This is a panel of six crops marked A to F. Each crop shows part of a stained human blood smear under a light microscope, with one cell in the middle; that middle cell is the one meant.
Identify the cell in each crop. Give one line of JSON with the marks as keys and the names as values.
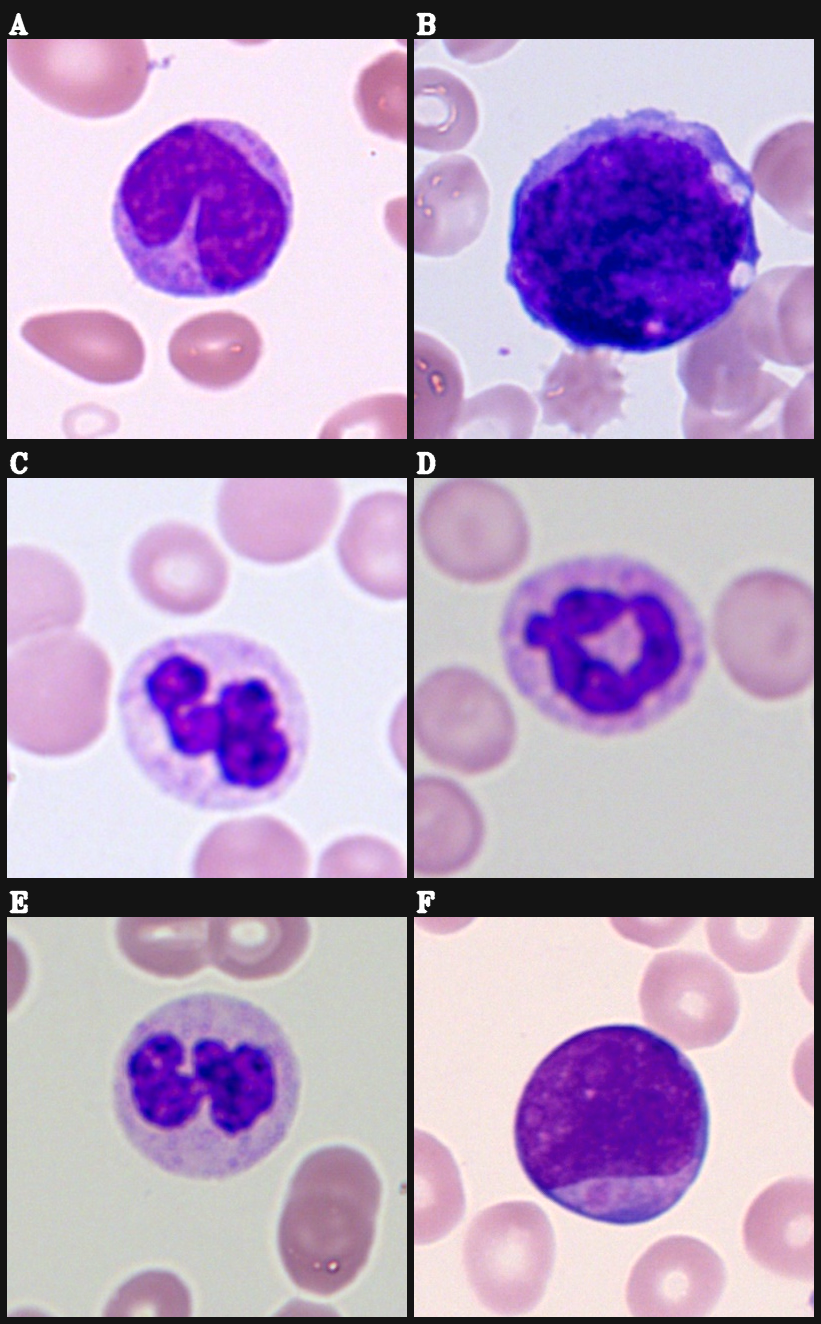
{"A": "monocyte", "B": "blast", "C": "neutrophil", "D": "neutrophil", "E": "neutrophil", "F": "blast"}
